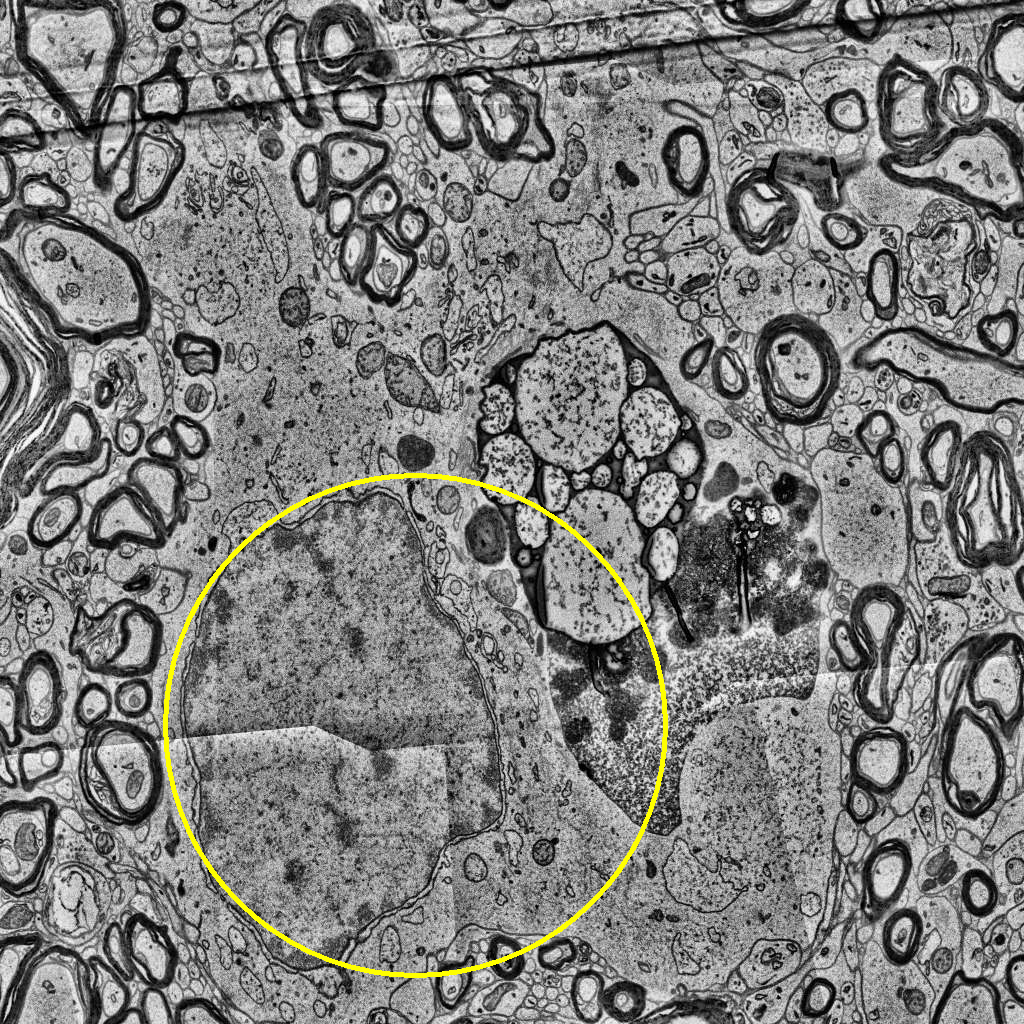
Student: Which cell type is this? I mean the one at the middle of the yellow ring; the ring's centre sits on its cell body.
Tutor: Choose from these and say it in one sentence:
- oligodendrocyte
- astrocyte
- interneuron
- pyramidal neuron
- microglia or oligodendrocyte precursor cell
The cell at the ring's centre is an astrocyte.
